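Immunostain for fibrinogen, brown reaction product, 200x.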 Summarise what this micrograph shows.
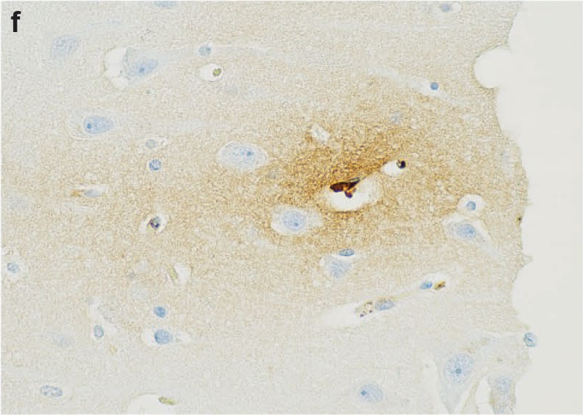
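This is brain tissue with a small vessel at the centre, with dark brown material lying in its lumen. A diffuse brown haze spreads from the vessel into the surrounding neuropil and fades with distance. Scattered cells with pale blue nuclei lie in the tissue around it, some within the brown zone.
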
